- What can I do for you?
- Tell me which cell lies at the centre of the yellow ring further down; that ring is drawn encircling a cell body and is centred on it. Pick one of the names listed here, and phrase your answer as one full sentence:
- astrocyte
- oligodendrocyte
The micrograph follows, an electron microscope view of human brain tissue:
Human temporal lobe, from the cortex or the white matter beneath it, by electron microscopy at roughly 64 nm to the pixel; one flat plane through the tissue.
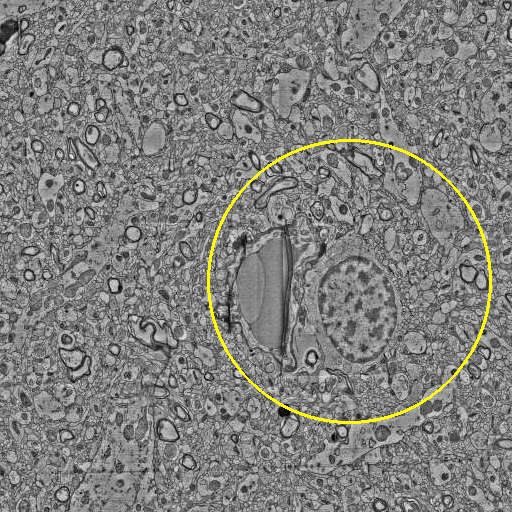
The cell whose body lies at the centre of the yellow ring is an oligodendrocyte.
